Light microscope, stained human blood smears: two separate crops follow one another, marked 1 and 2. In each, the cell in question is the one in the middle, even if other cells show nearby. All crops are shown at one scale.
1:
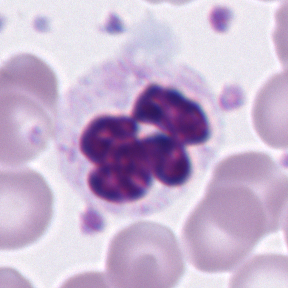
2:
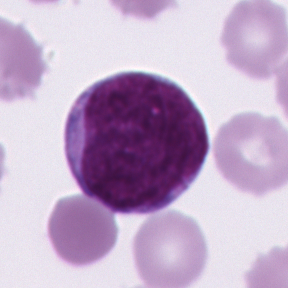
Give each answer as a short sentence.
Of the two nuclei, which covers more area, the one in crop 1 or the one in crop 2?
The nucleus in crop 2 is larger, with about 1.5 times the area of the one in crop 1.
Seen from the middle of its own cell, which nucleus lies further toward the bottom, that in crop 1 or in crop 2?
In crop 1 the nucleus is shifted more toward the bottom.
